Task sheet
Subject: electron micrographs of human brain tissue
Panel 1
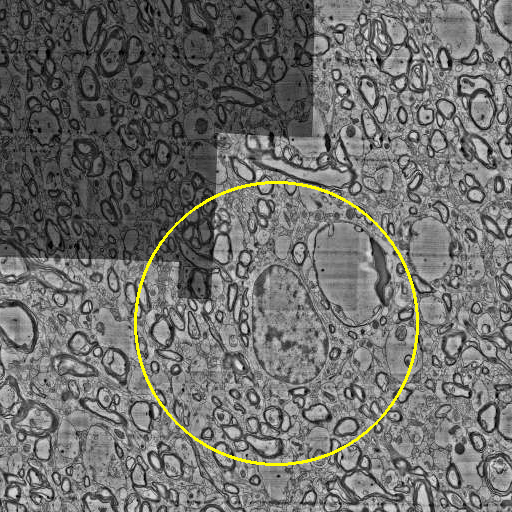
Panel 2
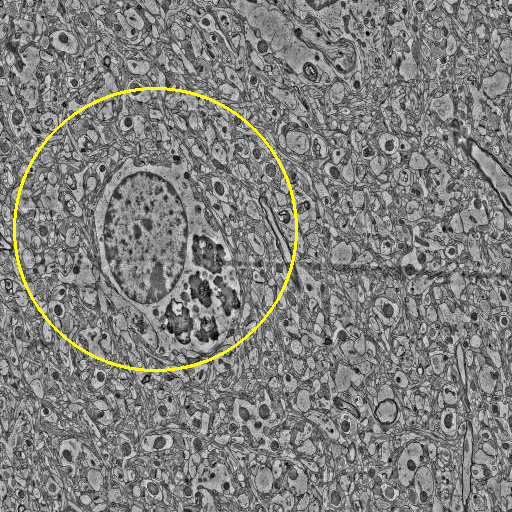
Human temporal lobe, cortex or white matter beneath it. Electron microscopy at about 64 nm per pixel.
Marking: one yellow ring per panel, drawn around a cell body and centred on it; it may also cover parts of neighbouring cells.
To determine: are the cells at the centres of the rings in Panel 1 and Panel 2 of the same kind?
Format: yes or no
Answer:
no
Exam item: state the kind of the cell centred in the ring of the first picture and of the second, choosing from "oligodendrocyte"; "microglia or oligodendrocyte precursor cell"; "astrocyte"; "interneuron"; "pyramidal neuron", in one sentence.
The first picture shows a microglial cell or oligodendrocyte precursor cell at the ring centre and the second shows an astrocyte.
